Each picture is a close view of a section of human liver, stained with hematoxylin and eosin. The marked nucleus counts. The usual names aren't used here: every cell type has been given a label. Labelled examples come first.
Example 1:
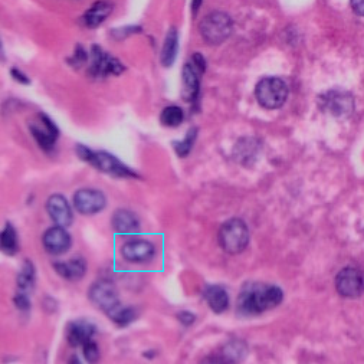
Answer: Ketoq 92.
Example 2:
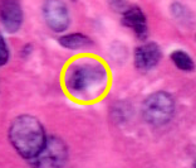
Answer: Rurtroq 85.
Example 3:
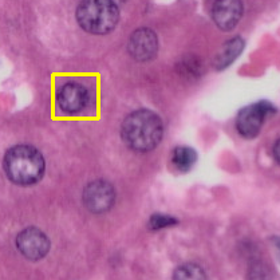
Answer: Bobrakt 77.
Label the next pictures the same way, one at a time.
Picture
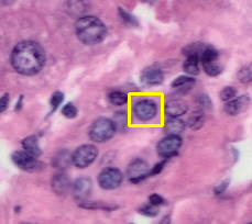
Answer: Ketoq 92.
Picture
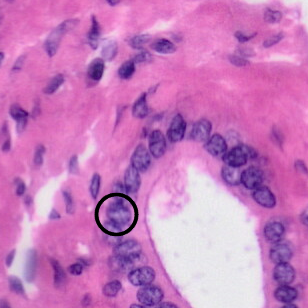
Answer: Ketoq 92.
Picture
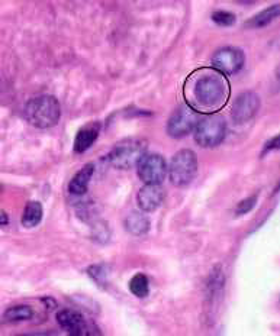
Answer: Ketoq 92.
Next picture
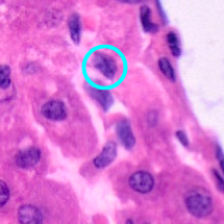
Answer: Rurtroq 85.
